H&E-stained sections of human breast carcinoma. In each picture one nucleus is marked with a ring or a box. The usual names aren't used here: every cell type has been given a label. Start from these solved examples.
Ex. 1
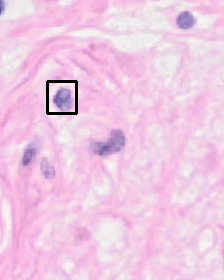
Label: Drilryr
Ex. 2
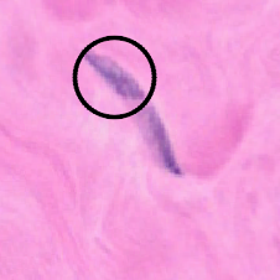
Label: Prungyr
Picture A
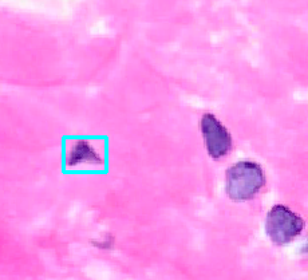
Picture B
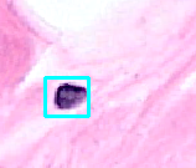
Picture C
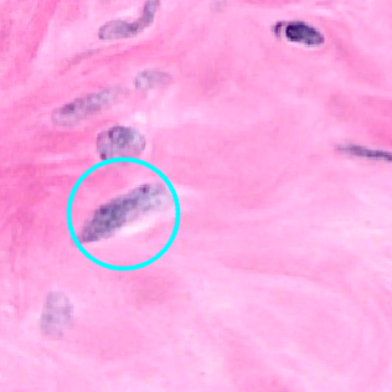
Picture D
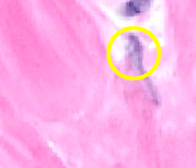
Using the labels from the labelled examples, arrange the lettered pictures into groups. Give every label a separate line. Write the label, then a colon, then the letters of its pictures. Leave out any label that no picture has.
Drilryr: B
Prungyr: A, C, D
